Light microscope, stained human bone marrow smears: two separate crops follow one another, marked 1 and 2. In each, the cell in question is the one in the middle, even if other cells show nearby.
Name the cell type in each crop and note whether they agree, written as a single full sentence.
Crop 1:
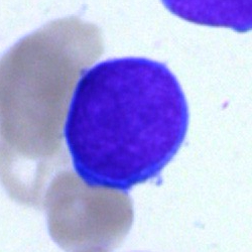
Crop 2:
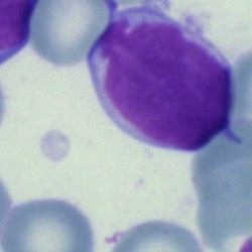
No, mark crop 1 as a blast and crop 2 as a lymphocyte.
